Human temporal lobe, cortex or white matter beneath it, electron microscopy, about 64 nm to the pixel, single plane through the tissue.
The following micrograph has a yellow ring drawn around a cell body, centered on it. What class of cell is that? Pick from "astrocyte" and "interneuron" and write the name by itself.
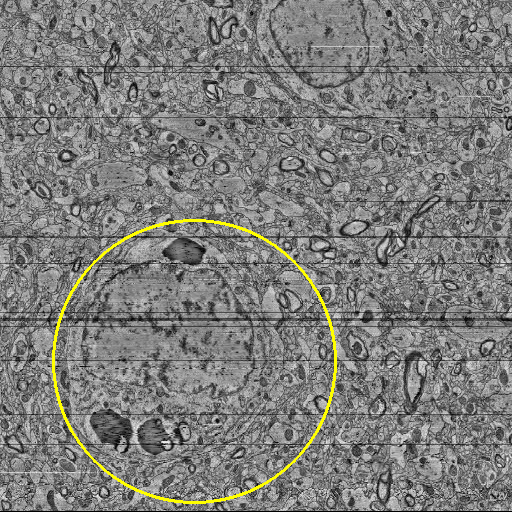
interneuron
